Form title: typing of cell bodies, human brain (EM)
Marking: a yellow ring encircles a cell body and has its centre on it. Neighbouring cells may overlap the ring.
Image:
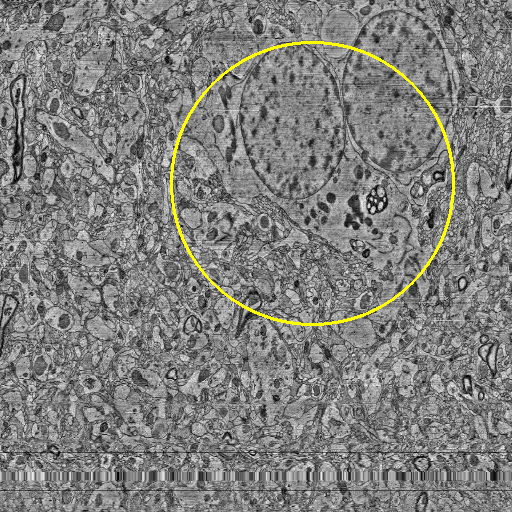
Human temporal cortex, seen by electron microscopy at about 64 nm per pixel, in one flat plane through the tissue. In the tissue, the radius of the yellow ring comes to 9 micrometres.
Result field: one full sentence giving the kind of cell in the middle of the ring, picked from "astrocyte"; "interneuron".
In the picture, the ring is centred on an astrocyte, whose cell body it encircles.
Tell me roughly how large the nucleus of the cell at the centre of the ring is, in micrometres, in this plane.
The nucleus of the ringed cell is clearly longer than it is wide in this plane, about 10 by 7 micrometres.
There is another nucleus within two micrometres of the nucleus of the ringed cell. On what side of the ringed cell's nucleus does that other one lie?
That other nucleus appears to the upper right of it.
